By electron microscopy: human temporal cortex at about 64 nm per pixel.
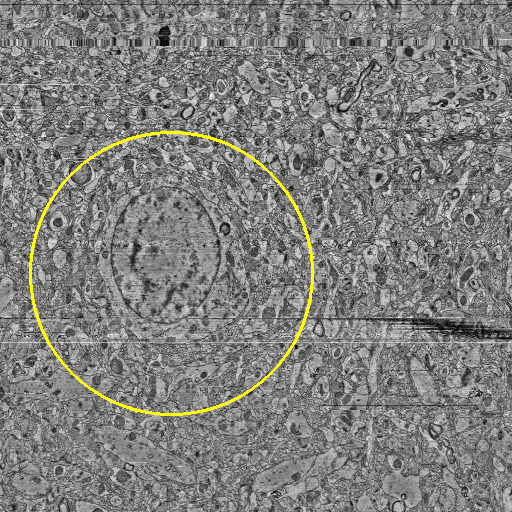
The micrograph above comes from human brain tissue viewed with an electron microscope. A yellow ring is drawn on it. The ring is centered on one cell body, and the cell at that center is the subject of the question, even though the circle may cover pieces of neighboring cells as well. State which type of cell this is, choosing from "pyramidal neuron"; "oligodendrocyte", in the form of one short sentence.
The cell the ring is centered on is a pyramidal neuron.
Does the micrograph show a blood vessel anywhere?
No.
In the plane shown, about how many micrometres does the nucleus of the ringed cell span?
In this plane the nucleus spans approximately 9 by 7 micrometers.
